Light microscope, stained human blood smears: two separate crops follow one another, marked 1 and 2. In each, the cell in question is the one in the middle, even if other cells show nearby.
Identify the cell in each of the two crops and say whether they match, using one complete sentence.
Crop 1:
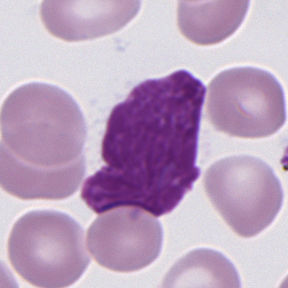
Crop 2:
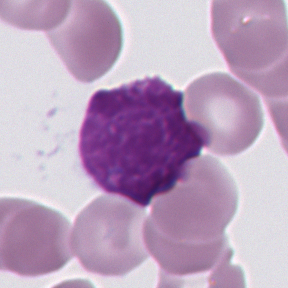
Yes, both crops show smudge cells, the one and the other.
